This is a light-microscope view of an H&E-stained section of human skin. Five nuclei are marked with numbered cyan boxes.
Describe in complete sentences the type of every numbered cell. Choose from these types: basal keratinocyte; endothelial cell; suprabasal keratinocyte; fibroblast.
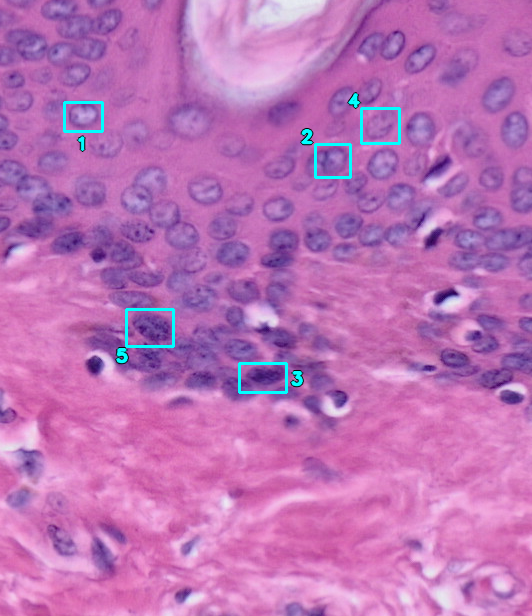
Cells 1, 2 and 4 are suprabasal keratinocytes. Cells 3 and 5 are basal keratinocytes.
